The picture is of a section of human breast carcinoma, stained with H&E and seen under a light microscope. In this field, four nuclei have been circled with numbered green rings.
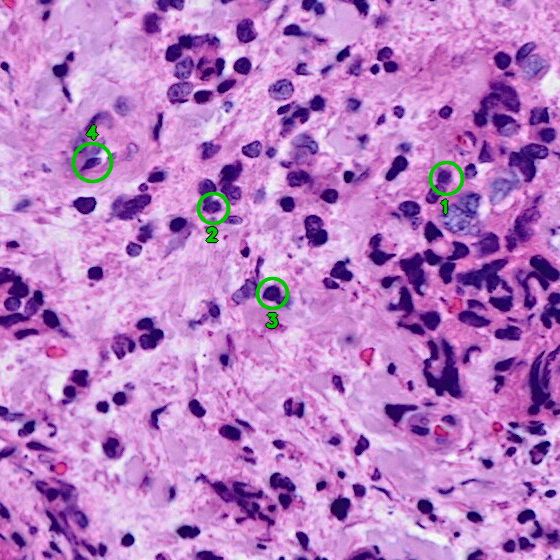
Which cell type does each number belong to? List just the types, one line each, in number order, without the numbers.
lymphocyte
lymphocyte
lymphocyte
endothelial cell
